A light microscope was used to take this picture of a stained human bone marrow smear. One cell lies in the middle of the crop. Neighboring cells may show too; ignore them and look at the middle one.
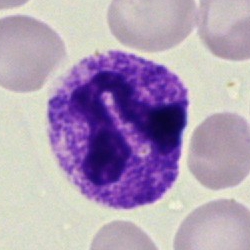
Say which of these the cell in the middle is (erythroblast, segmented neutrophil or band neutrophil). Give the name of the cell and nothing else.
segmented neutrophil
